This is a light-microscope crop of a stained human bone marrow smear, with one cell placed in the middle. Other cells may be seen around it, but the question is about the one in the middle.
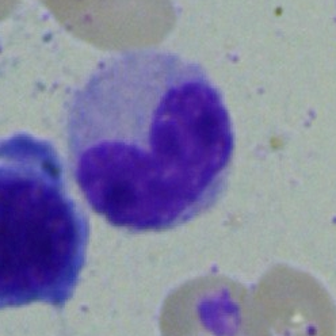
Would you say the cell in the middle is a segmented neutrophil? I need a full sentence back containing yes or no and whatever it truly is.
No, it isn't a segmented neutrophil; what sits in the middle is a band neutrophil.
